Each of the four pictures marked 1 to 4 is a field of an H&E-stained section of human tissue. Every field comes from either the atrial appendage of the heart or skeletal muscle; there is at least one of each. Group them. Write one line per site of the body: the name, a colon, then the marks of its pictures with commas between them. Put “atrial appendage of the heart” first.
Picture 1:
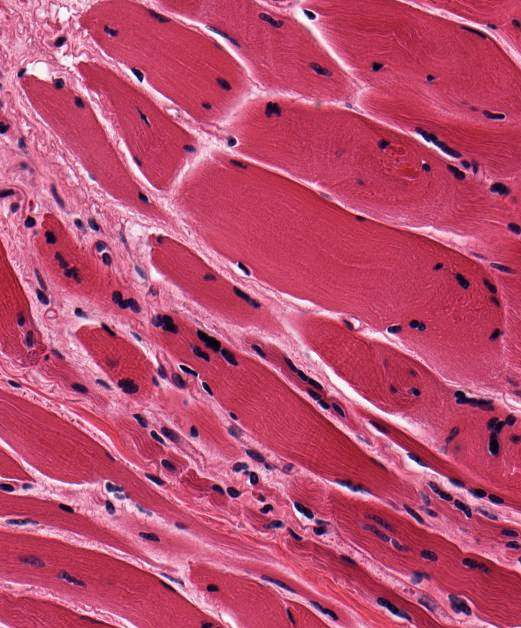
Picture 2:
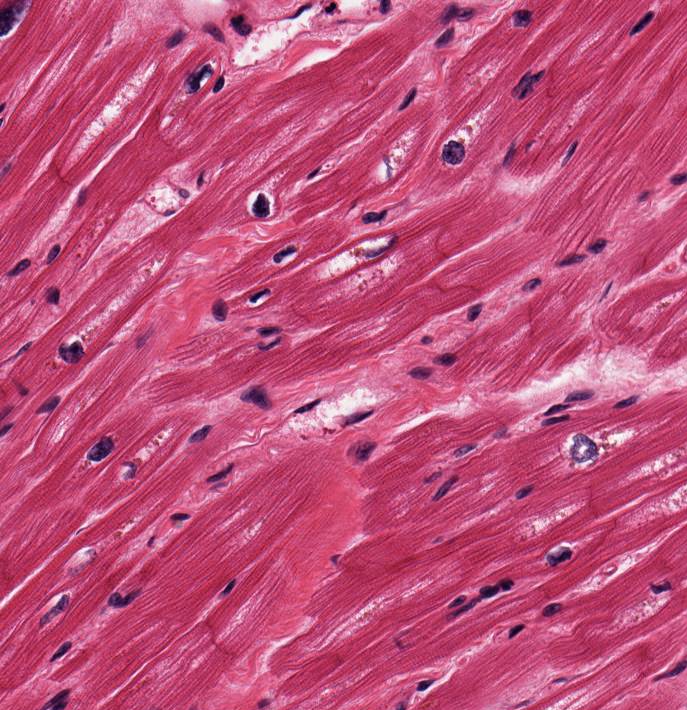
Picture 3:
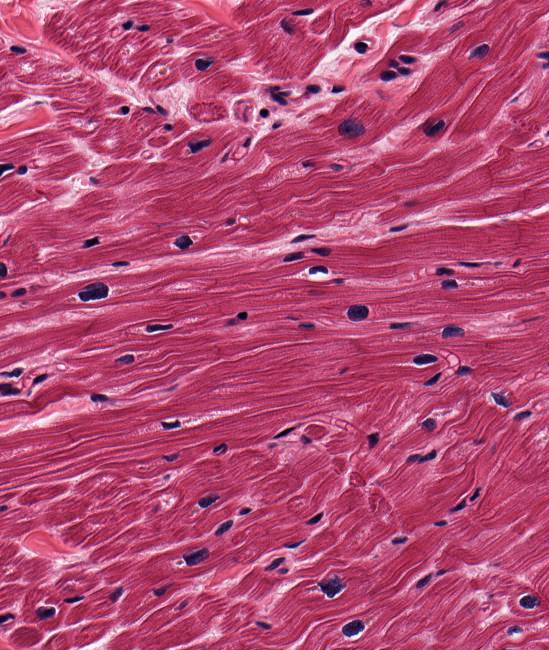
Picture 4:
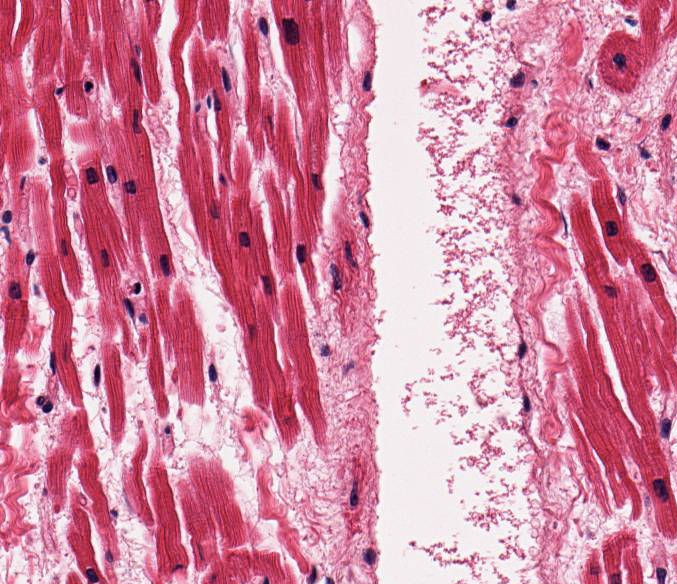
atrial appendage of the heart: 2, 3, 4
skeletal muscle: 1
